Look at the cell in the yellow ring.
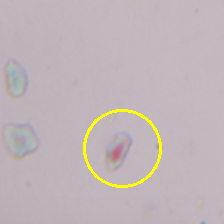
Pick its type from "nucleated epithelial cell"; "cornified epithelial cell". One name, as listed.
nucleated epithelial cell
